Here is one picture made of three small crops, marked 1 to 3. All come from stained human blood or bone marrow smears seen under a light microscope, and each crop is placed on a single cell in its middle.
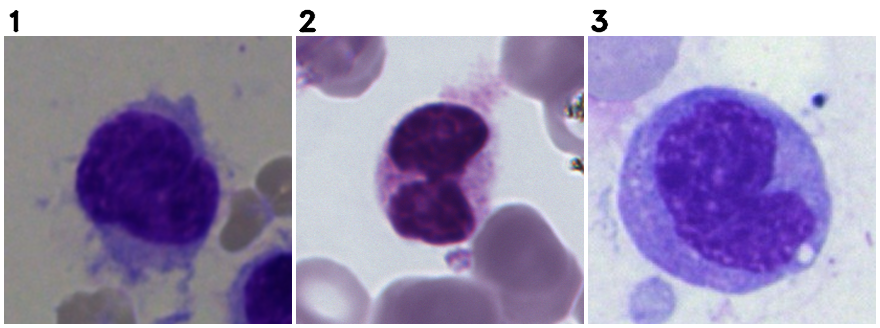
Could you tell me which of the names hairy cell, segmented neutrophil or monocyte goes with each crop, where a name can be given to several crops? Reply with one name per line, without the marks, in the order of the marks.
hairy cell
segmented neutrophil
monocyte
